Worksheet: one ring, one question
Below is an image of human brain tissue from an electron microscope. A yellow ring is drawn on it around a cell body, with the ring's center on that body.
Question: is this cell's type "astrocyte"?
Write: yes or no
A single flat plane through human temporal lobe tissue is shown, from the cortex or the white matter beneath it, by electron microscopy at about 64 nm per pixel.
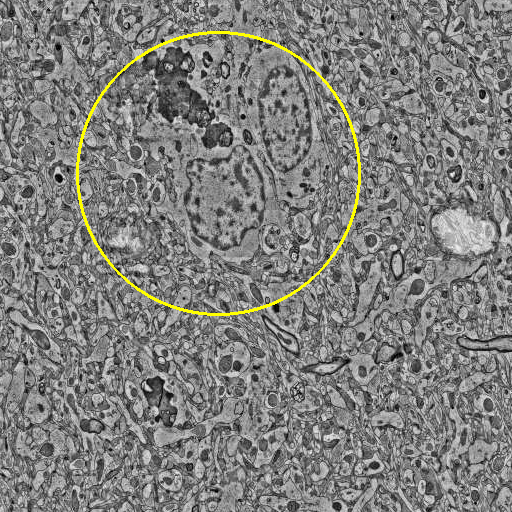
yes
